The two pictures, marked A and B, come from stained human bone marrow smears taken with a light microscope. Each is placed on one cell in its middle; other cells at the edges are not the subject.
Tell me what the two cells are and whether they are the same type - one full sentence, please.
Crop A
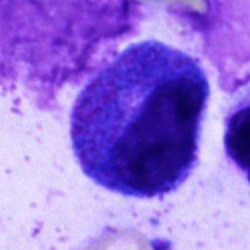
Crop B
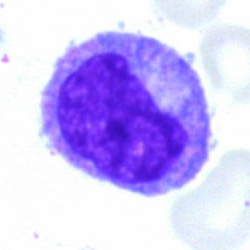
Yes, promyelocytes are seen in both crops.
